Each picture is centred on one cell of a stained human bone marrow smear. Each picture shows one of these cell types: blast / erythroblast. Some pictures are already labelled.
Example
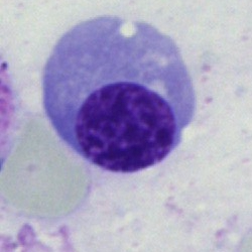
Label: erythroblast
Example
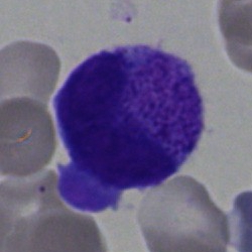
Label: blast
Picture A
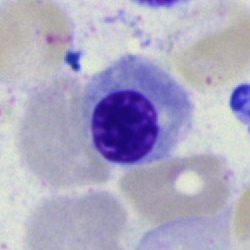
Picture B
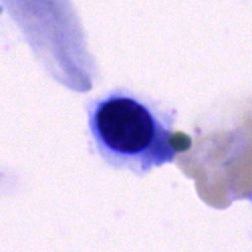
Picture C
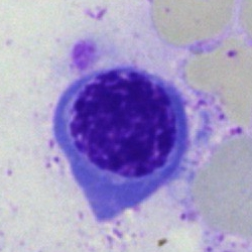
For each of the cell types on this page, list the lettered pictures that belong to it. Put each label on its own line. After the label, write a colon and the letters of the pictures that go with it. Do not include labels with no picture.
erythroblast: A, B, C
